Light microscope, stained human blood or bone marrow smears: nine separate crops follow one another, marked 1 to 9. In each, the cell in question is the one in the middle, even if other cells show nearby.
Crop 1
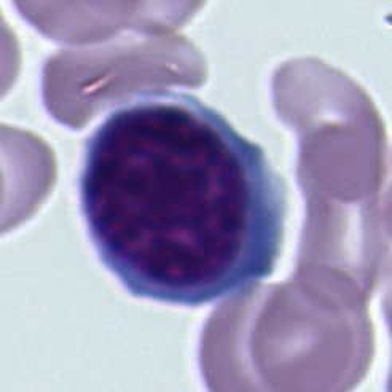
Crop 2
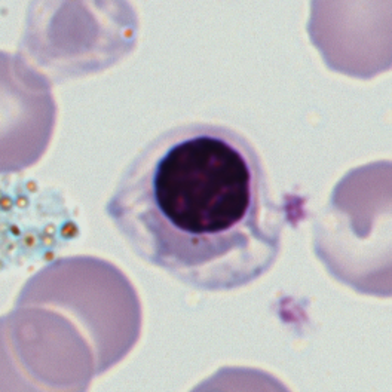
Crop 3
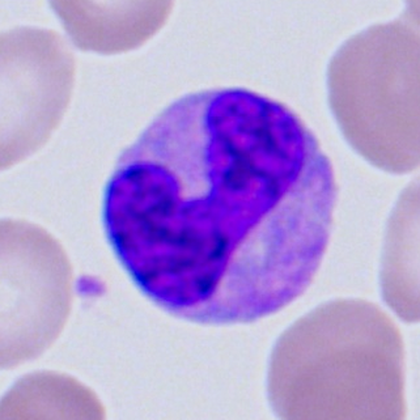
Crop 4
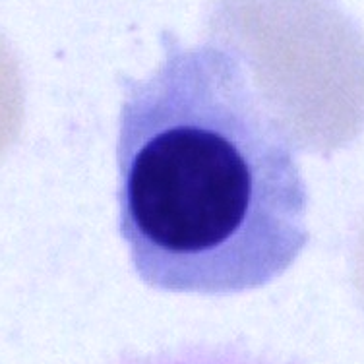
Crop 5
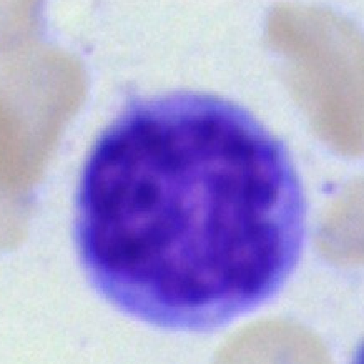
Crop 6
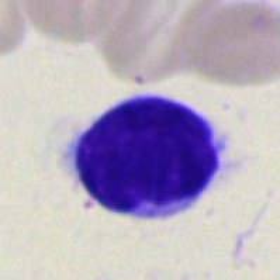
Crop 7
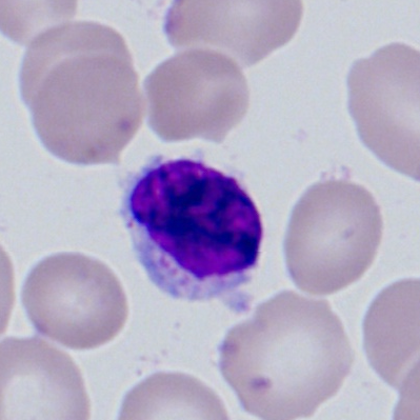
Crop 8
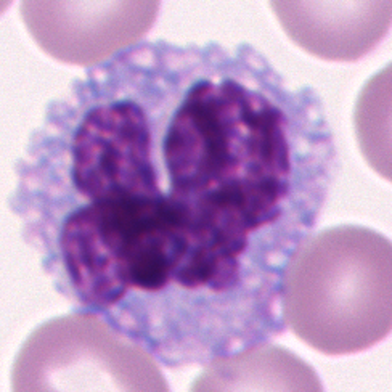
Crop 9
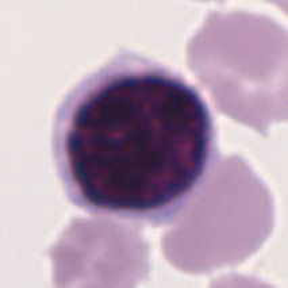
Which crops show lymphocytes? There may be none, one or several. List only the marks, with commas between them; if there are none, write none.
6, 7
